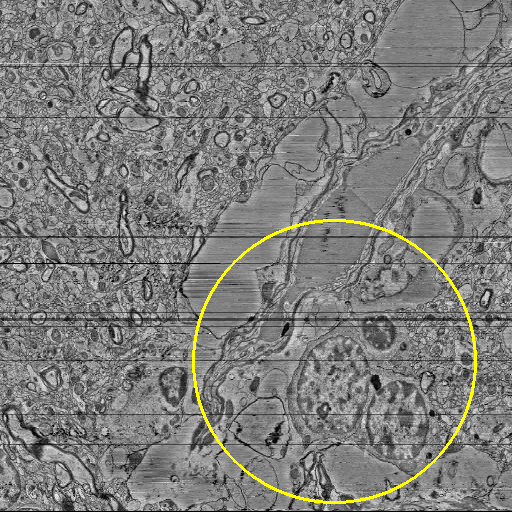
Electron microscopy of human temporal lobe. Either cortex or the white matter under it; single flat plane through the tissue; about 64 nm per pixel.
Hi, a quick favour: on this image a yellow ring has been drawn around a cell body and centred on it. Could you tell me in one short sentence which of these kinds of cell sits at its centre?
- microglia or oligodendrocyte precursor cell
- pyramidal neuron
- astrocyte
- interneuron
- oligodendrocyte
The ring is centred on an oligodendrocyte.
